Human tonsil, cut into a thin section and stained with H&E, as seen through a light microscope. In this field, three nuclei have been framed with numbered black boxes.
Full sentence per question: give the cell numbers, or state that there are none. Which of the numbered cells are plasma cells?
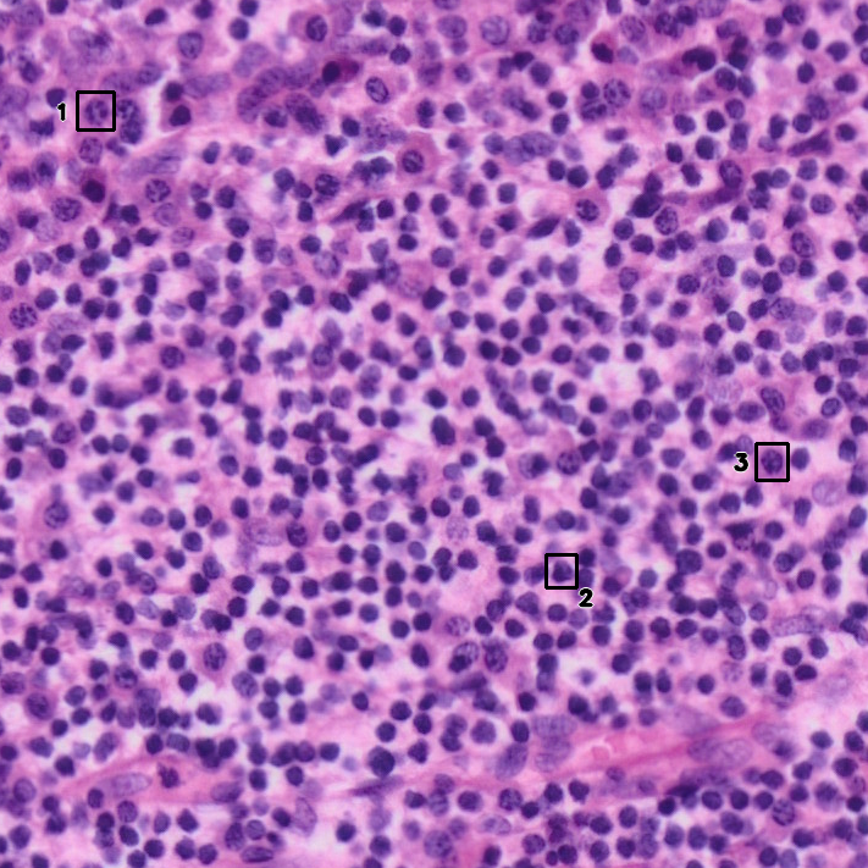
The cells numbered 1 and 3 are of one kind: plasma cells.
